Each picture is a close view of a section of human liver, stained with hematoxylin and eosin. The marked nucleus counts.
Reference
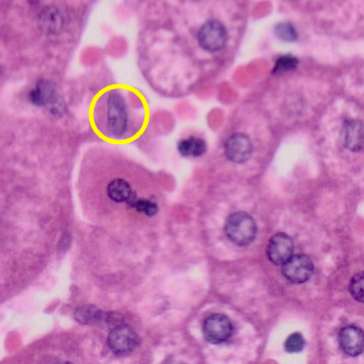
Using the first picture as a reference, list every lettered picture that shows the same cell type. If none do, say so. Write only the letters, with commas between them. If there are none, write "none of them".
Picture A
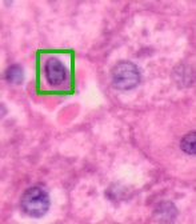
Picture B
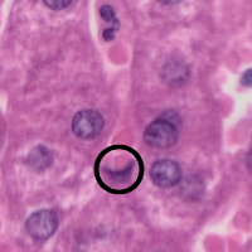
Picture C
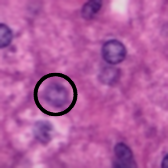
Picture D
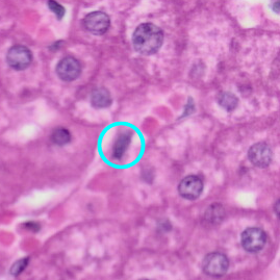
A, D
